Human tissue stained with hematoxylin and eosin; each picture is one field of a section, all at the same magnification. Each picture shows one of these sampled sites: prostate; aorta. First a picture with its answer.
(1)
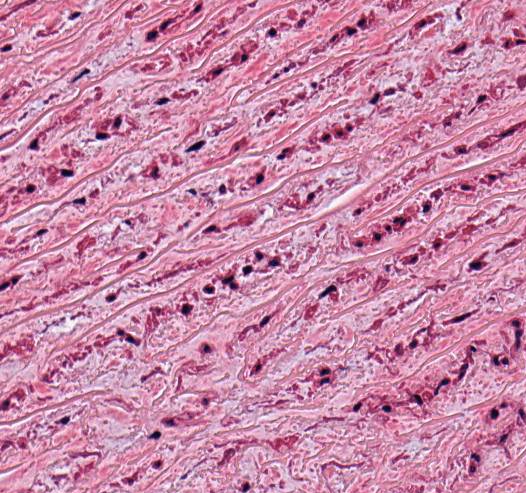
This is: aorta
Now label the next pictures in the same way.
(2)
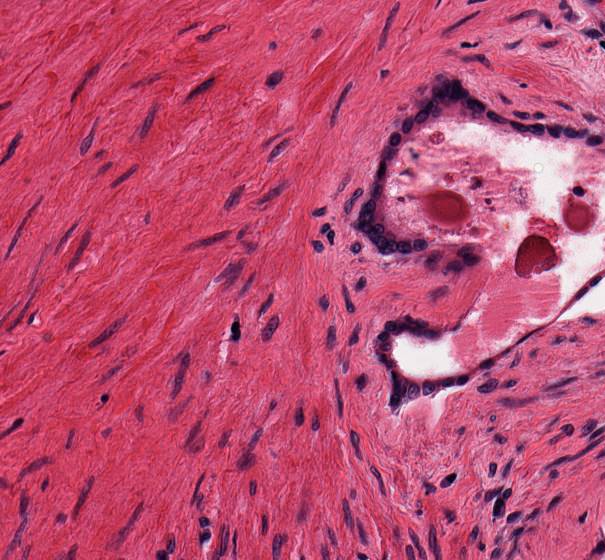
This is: prostate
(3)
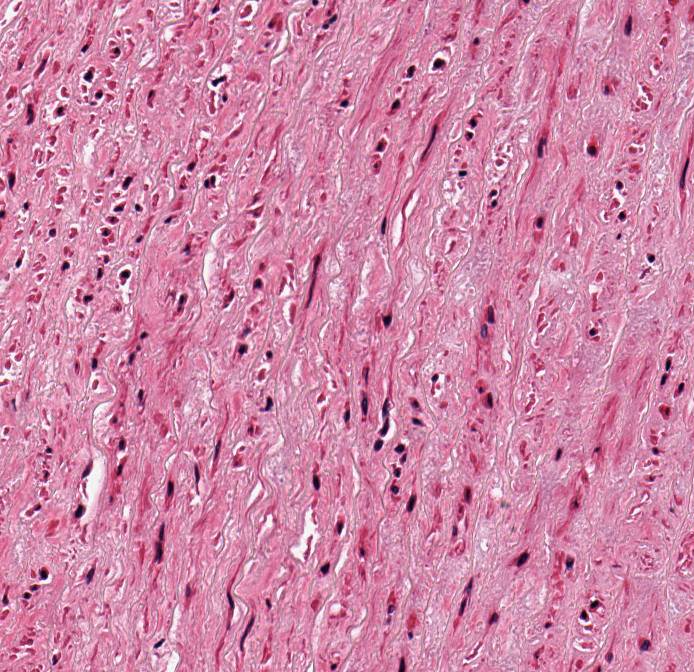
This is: aorta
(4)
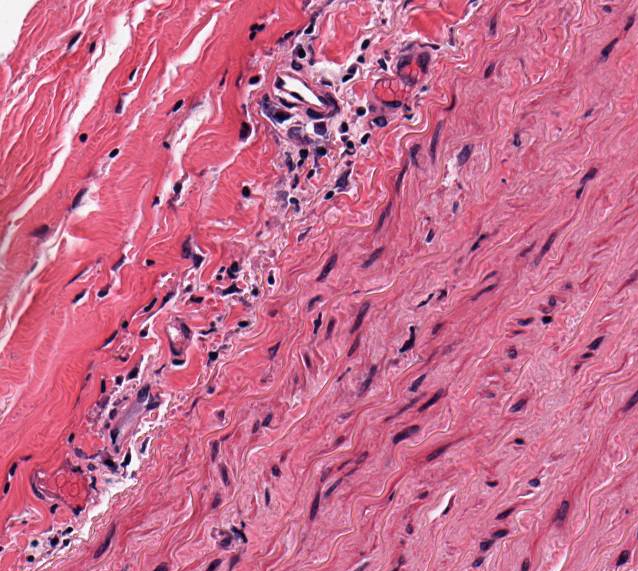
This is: aorta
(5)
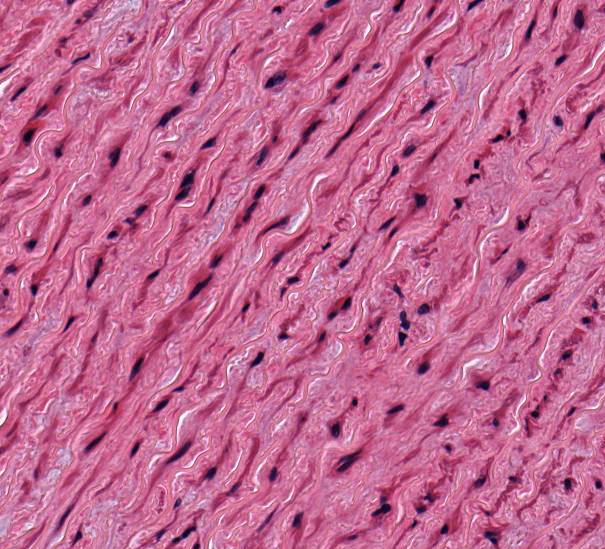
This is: aorta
